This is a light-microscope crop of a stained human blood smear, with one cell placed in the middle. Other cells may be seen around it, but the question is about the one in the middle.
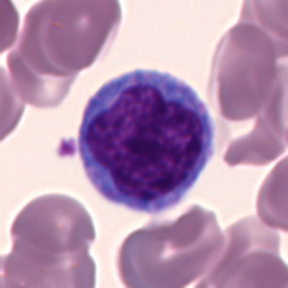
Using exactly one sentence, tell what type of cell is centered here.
The cell found in the middle of this crop is a monocyte.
